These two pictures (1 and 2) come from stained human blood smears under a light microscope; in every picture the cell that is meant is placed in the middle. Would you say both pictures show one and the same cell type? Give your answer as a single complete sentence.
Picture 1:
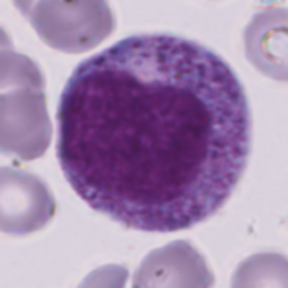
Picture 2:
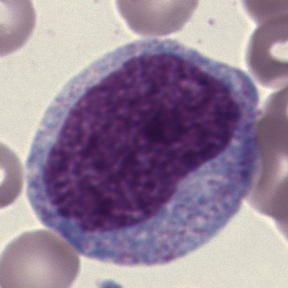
Yes, both are promyelocytes.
